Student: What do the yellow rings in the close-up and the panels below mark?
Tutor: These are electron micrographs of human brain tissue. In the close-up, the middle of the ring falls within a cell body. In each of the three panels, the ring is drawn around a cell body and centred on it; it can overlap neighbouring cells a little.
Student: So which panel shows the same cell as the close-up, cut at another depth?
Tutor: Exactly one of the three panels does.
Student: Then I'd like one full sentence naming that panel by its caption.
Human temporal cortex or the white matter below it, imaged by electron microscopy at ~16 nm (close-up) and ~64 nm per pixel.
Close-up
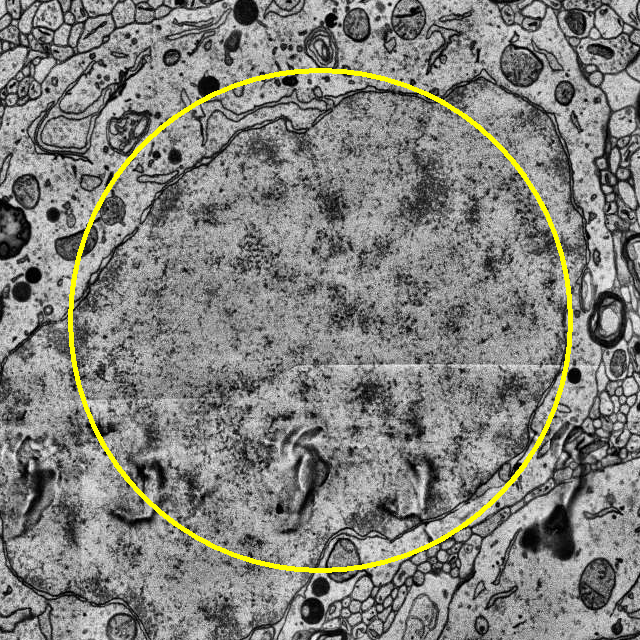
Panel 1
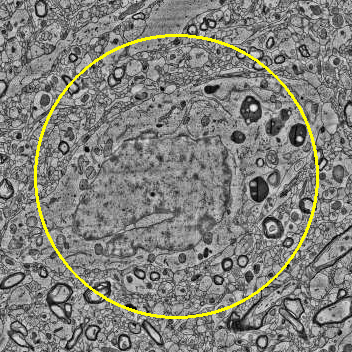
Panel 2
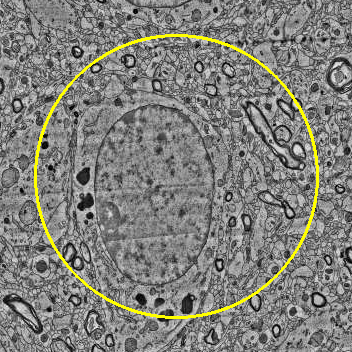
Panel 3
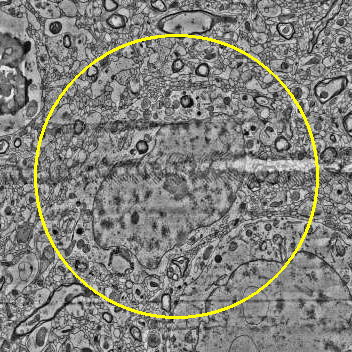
The ringed cell whose close-up is shown lies in Panel 3.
